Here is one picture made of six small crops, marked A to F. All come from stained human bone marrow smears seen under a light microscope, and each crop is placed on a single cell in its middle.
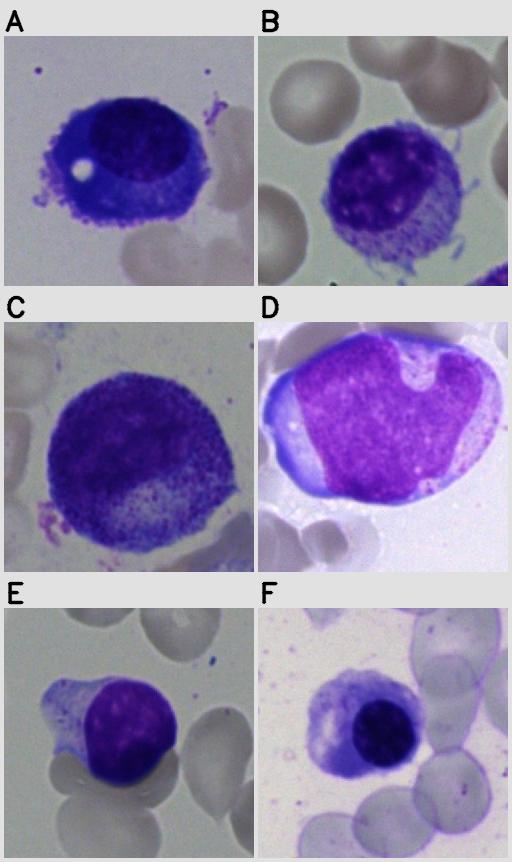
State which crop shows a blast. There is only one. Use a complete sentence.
Among the crops provided, a blast occupies the center of crop D.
